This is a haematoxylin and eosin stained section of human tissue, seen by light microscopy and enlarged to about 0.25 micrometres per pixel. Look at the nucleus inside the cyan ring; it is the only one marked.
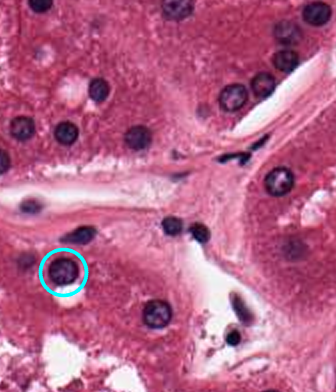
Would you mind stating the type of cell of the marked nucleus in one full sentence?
The mark falls on a nucleus belonging to a proximal tubule cell.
